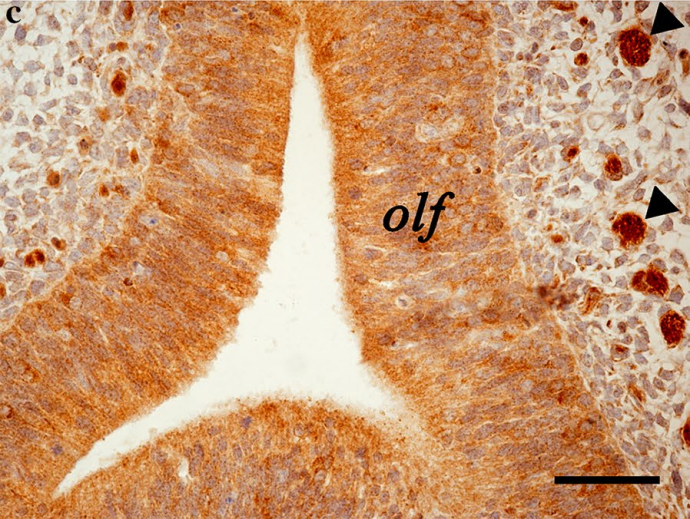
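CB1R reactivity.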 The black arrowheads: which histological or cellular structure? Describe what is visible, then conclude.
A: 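The arrowheads point to small round, intensely brown bundles in the loose tissue beside the epithelium. The bundles are scattered among pale, loosely packed cells with blue nuclei. So: nerve branches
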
